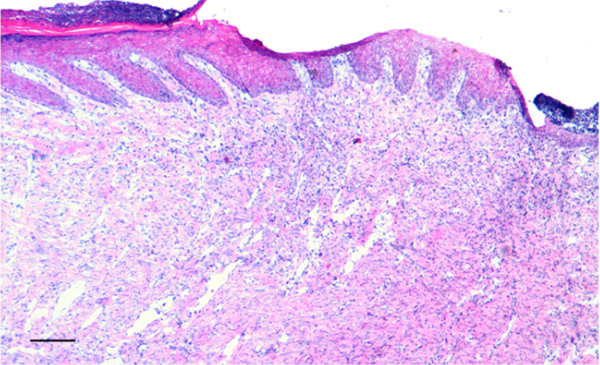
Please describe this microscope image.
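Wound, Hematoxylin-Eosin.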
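Healing skin with a thick stratified epidermis sending long, slanting rete ridges down into an underlying immature granulation tissue. The granulation tissue is loose and densely cellular, with many small dark nuclei scattered among pale pink fibres and small clefts, and lacks hair follicles or glands. A dark crust lies on part of the surface.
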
